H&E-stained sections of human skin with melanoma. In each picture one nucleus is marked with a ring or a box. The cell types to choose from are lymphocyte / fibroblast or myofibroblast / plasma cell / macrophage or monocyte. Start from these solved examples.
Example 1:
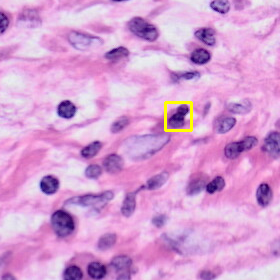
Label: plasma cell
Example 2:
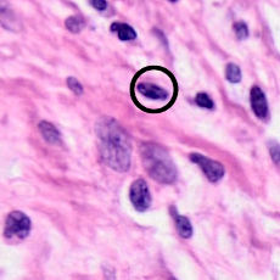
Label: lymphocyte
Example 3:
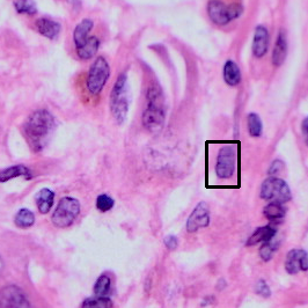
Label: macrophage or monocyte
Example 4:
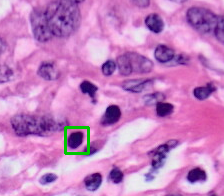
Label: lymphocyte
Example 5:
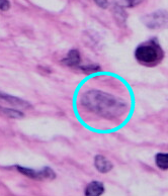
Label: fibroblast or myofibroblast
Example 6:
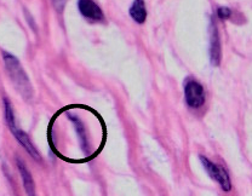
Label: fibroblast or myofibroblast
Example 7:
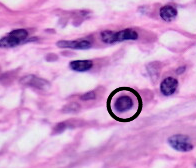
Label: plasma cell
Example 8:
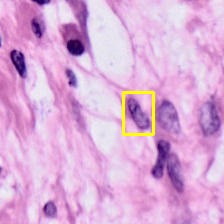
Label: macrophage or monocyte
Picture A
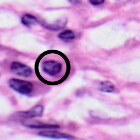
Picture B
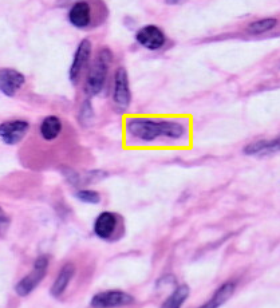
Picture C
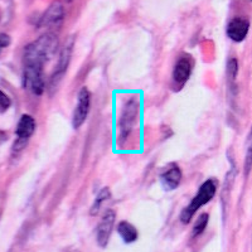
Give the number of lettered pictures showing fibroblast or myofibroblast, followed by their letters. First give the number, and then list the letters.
Count: 1 (C)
